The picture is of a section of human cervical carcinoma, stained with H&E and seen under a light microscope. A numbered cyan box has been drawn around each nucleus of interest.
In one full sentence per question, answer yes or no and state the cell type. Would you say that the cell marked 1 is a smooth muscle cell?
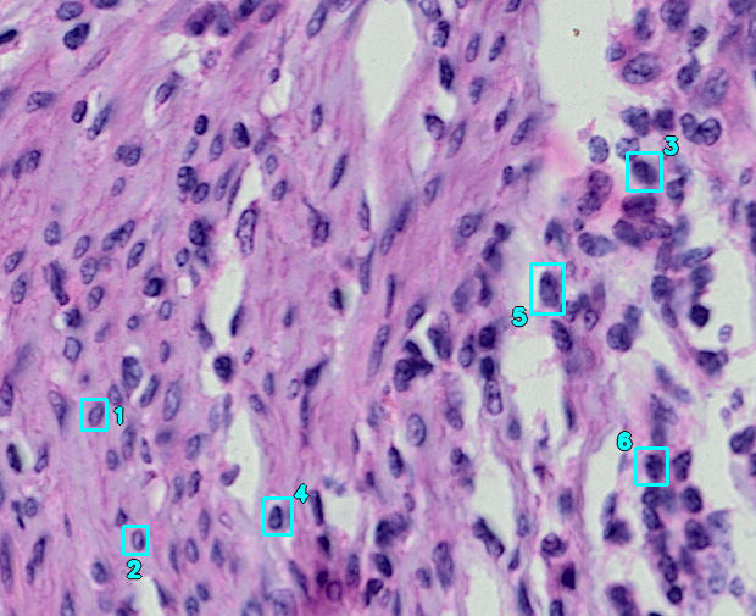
Yes, the cell that goes by number 1 is a smooth muscle cell.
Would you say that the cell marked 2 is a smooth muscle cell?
Yes, the cell at the mark numbered 2 is a smooth muscle cell.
